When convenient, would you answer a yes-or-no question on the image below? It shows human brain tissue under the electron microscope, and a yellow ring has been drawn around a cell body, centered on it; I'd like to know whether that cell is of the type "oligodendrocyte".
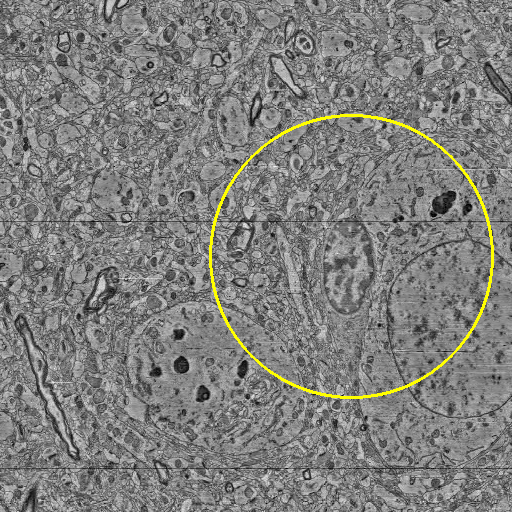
yes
